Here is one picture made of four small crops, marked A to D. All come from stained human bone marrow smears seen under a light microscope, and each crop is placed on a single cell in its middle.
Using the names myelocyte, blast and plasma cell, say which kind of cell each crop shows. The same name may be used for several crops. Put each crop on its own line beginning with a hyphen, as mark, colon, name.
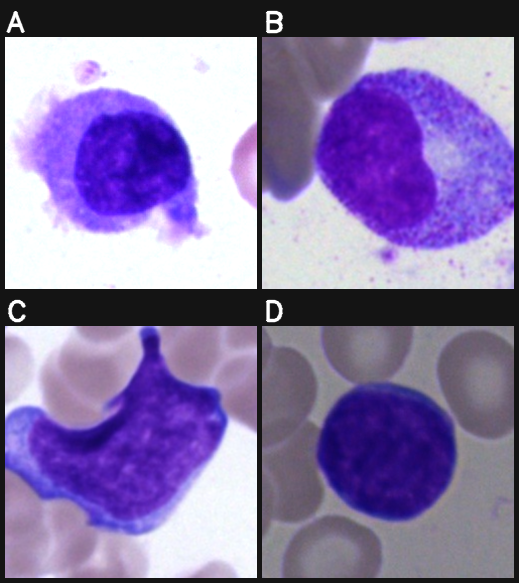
- A: plasma cell
- B: myelocyte
- C: blast
- D: blast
